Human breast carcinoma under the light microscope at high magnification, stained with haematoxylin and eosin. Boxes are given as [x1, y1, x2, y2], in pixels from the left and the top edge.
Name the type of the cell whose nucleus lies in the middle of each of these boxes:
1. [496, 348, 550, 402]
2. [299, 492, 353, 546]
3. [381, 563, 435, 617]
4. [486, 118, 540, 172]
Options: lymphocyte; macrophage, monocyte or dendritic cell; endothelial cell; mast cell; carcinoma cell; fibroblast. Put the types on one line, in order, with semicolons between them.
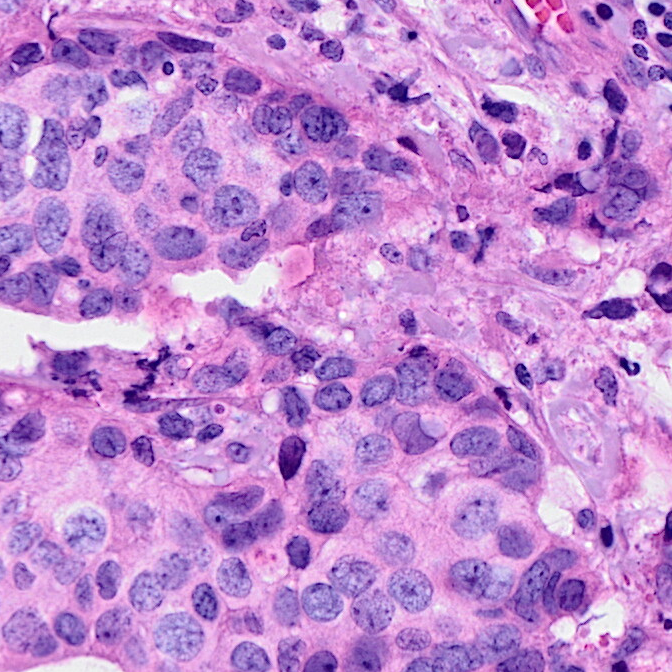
lymphocyte; carcinoma cell; carcinoma cell; carcinoma cell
